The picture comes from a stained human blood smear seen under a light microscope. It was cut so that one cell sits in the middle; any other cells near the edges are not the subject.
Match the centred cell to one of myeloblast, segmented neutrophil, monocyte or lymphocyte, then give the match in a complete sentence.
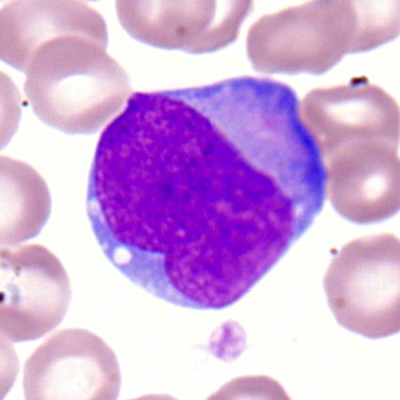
The cell of interest, located centrally, is a myeloblast.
